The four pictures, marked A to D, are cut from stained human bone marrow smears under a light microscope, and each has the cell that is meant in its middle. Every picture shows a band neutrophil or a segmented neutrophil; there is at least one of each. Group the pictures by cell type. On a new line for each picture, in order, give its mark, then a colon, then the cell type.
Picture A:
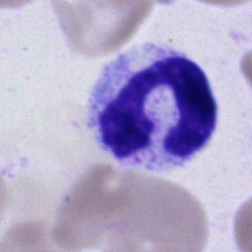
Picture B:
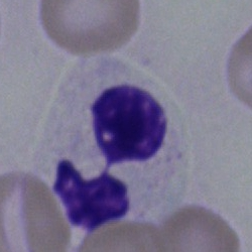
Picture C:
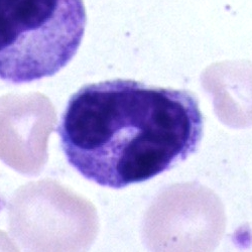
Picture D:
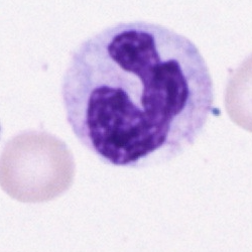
A: band neutrophil
B: segmented neutrophil
C: band neutrophil
D: segmented neutrophil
